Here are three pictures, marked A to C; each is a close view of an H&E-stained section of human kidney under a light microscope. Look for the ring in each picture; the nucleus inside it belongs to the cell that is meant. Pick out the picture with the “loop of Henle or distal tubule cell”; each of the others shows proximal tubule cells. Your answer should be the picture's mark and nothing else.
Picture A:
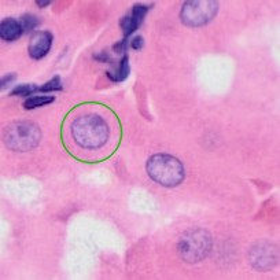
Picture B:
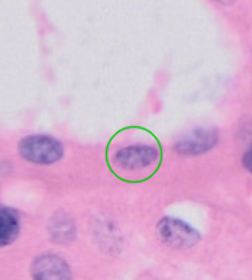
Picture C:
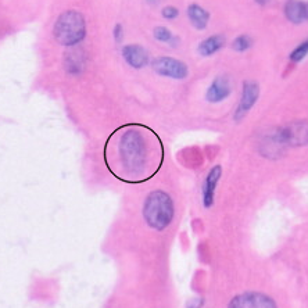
B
